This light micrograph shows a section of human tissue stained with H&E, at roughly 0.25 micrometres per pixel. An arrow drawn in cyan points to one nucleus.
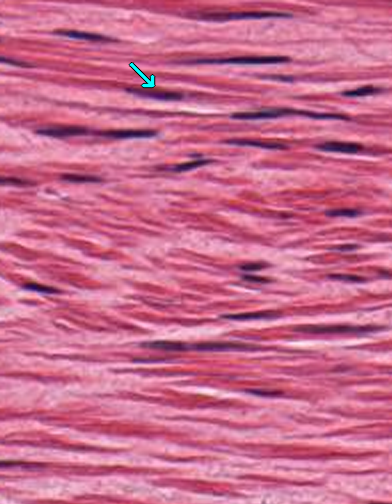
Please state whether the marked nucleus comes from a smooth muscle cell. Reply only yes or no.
yes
